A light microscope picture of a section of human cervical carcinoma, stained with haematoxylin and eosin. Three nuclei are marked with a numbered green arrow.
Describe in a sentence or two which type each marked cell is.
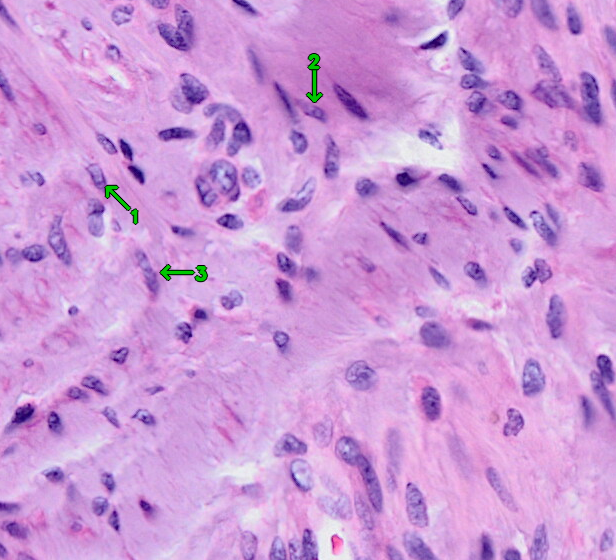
Cell 1 is a smooth muscle cell, cell 2 is a fibroblast and cell 3 is a smooth muscle cell.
